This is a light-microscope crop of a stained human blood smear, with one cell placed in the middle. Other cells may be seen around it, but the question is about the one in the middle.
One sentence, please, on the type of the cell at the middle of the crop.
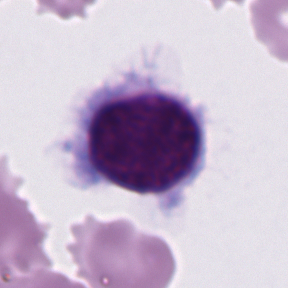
The cell at the central position in this crop is a hairy cell.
